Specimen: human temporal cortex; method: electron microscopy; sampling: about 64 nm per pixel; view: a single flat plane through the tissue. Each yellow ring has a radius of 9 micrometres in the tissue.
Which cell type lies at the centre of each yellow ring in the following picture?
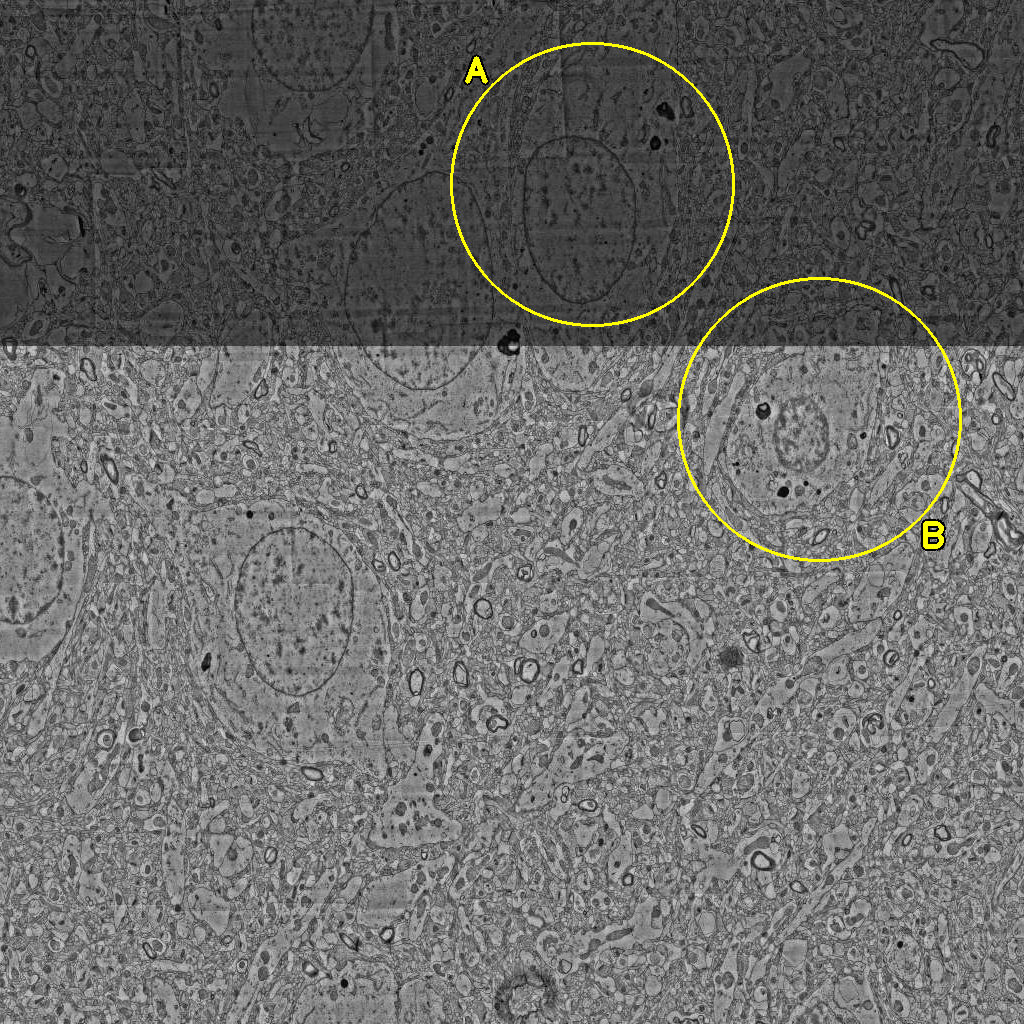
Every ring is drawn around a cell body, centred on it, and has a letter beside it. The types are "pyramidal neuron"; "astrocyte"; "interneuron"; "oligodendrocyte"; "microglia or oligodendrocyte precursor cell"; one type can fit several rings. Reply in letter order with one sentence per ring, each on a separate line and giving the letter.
Ring A marks the cell body of a pyramidal neuron.
Ring B marks the cell body of a pyramidal neuron.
